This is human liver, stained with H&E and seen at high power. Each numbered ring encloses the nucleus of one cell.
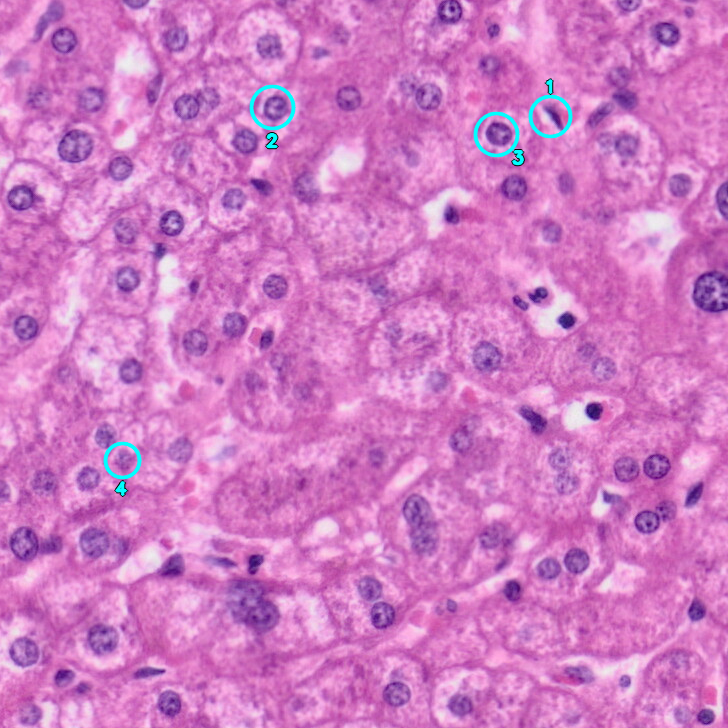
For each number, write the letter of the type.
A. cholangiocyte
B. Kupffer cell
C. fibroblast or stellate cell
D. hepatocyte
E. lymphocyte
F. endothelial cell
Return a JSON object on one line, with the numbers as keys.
{"1": "F", "2": "D", "3": "D", "4": "D"}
